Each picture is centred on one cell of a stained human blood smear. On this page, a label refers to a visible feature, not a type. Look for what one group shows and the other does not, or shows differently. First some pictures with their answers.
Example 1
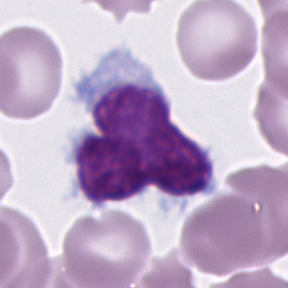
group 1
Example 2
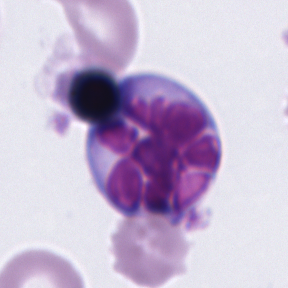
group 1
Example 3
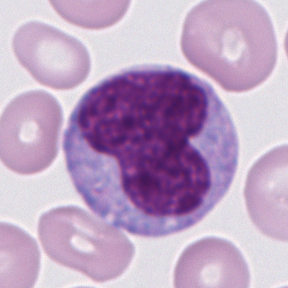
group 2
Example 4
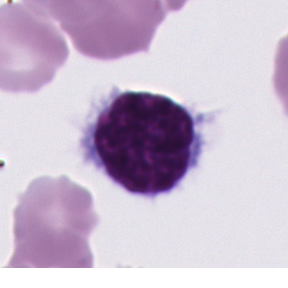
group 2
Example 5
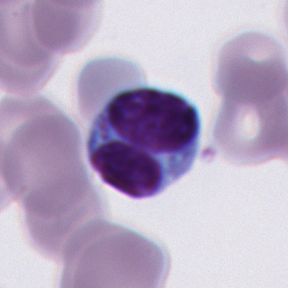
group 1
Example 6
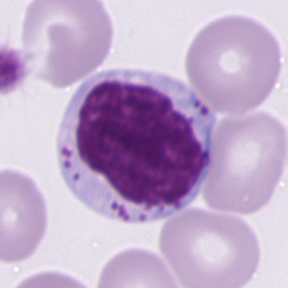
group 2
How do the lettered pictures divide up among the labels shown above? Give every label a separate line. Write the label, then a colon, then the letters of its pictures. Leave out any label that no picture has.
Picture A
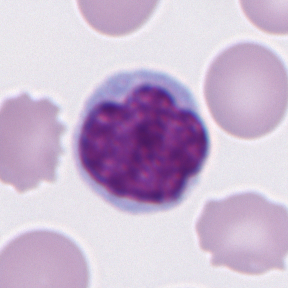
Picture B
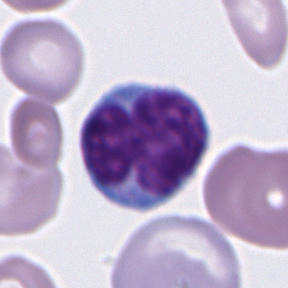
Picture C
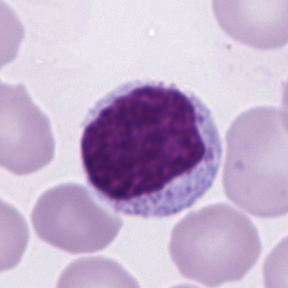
group 1: A, B
group 2: C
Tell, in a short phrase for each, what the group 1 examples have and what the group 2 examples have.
group 1: lobed nucleus; group 2: single compact nucleus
